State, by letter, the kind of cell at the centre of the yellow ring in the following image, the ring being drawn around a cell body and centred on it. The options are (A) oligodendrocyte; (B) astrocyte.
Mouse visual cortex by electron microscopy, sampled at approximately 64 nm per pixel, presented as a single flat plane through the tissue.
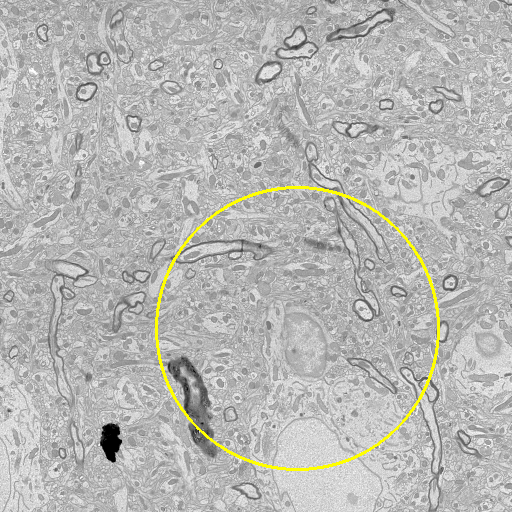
A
